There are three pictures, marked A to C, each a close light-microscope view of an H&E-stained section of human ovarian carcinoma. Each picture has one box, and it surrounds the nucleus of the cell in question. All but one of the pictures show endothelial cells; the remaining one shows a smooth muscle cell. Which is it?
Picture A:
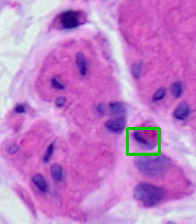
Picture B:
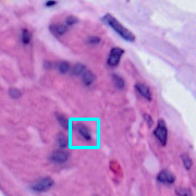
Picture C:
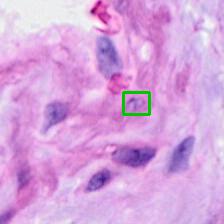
B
